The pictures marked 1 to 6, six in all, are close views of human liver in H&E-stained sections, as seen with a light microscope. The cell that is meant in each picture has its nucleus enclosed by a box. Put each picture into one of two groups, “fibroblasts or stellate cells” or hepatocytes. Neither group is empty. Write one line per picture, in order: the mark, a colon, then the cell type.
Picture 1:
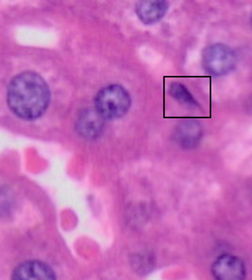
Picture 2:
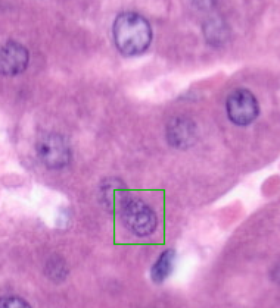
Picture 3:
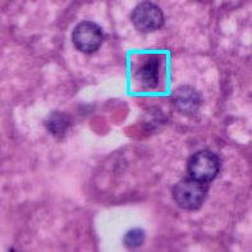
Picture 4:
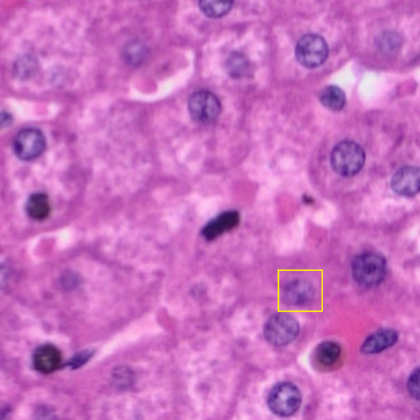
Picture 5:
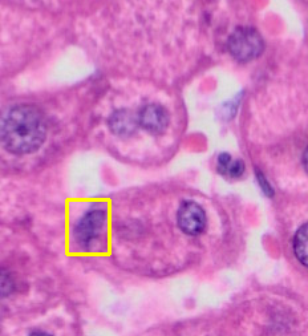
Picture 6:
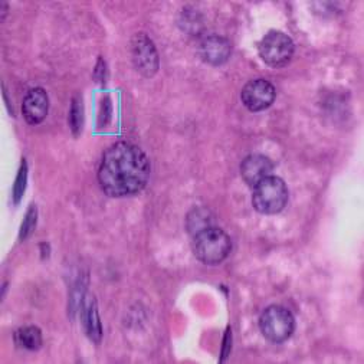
1: fibroblast or stellate cell
2: hepatocyte
3: fibroblast or stellate cell
4: hepatocyte
5: fibroblast or stellate cell
6: fibroblast or stellate cell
